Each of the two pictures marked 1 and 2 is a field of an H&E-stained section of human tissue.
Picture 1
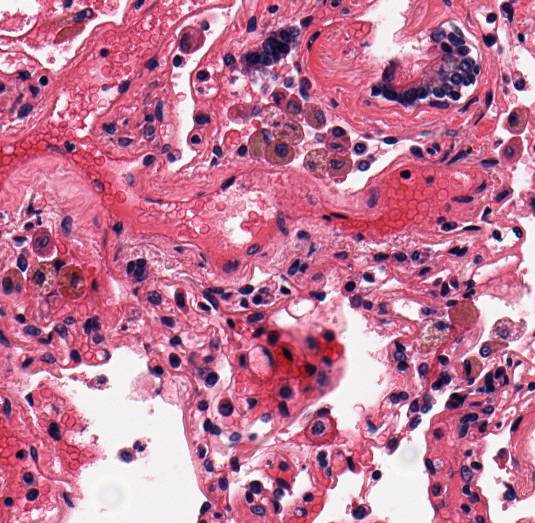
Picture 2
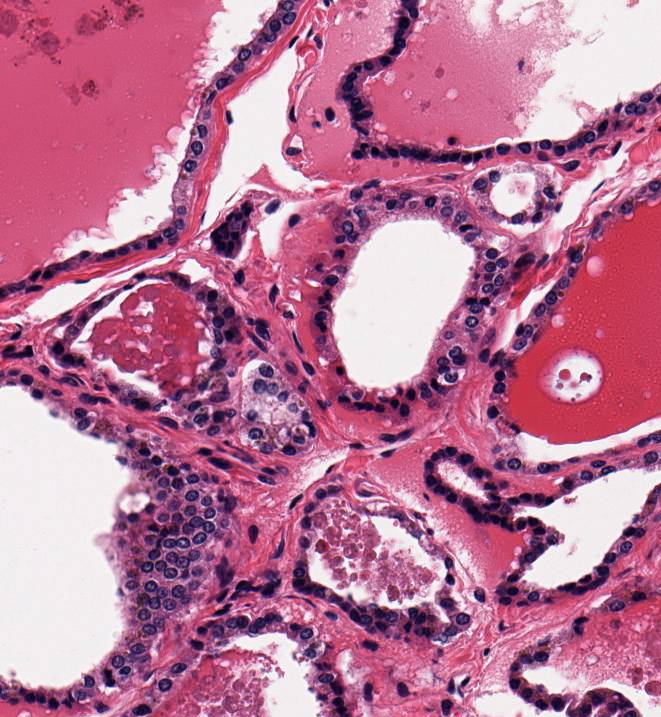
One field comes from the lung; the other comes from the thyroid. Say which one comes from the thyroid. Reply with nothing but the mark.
2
